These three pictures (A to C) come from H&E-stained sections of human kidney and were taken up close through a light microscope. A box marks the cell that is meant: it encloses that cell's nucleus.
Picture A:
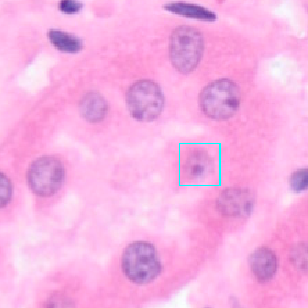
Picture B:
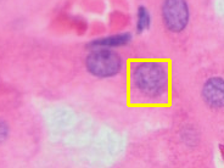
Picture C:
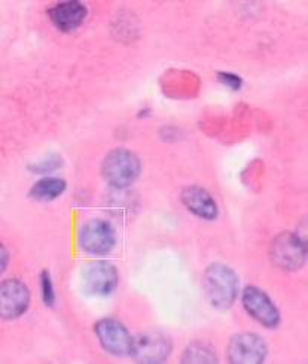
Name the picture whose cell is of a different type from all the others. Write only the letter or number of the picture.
C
